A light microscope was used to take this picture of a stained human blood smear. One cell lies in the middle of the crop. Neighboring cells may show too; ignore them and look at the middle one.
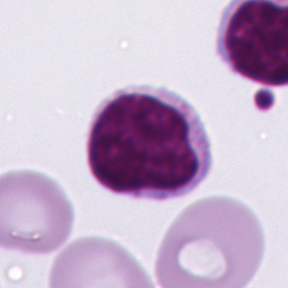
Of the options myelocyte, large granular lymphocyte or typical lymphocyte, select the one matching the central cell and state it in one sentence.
The centered cell in this crop is a large granular lymphocyte.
